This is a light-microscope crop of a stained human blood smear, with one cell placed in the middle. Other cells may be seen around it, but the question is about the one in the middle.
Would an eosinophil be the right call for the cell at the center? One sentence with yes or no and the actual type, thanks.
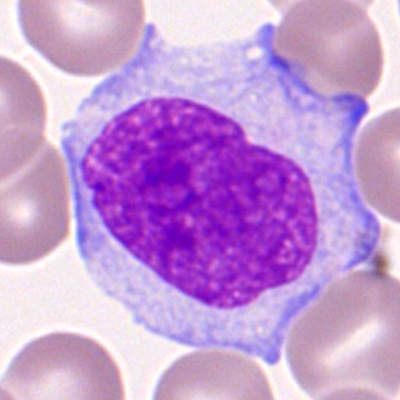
No, the central cell is a monocyte; it should not be labelled an eosinophil.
